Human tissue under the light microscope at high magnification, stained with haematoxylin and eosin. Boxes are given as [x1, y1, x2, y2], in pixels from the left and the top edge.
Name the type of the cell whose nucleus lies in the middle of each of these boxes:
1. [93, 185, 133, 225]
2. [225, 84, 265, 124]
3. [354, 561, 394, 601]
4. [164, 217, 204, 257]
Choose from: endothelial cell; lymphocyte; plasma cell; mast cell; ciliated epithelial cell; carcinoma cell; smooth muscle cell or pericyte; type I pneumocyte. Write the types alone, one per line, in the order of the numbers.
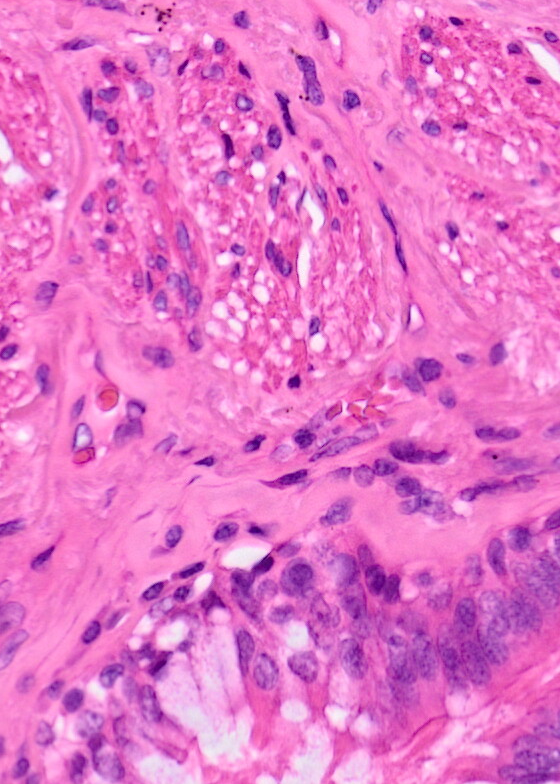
smooth muscle cell or pericyte
smooth muscle cell or pericyte
ciliated epithelial cell
smooth muscle cell or pericyte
